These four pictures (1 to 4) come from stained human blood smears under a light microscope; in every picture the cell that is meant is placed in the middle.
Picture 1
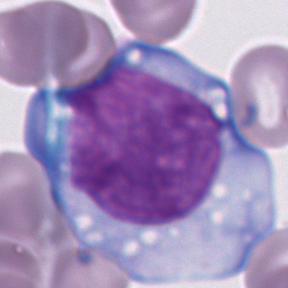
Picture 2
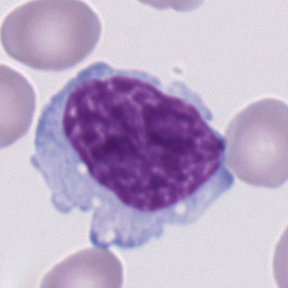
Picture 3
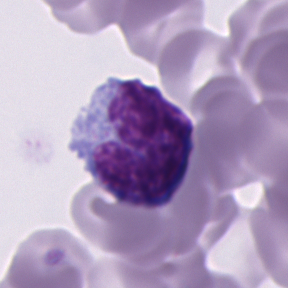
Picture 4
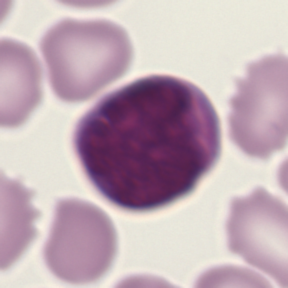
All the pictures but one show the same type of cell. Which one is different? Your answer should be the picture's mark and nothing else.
3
